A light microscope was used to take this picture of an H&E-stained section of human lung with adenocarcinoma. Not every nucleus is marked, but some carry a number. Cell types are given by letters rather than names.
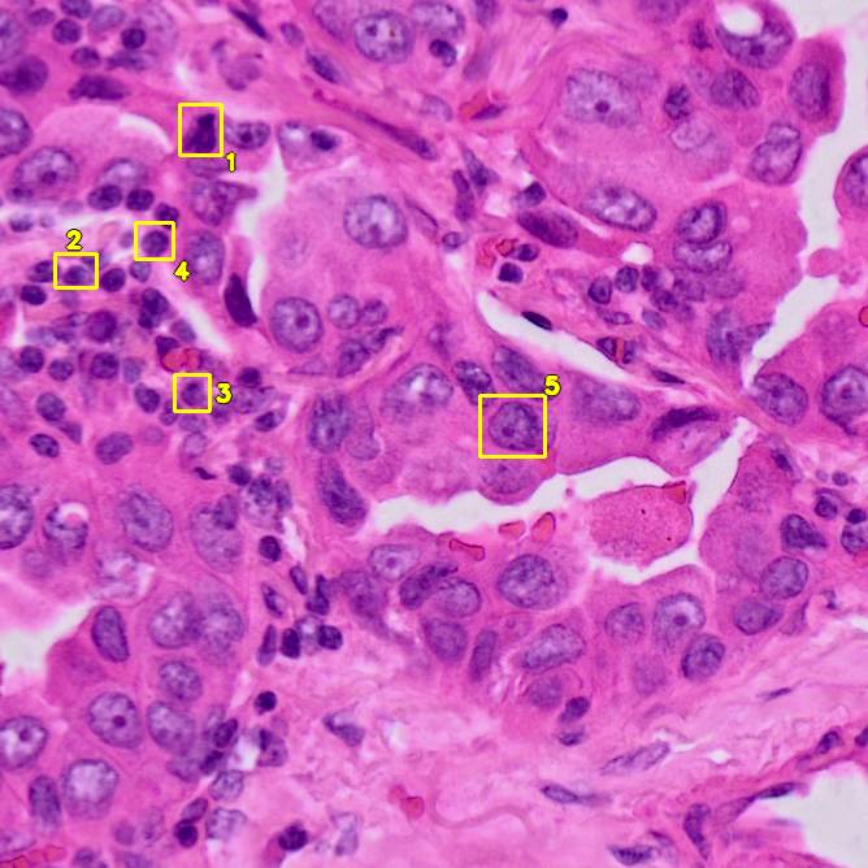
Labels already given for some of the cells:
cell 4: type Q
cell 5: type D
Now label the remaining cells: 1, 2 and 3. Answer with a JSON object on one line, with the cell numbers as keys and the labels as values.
{"1": "type D", "2": "type Q", "3": "type Q"}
